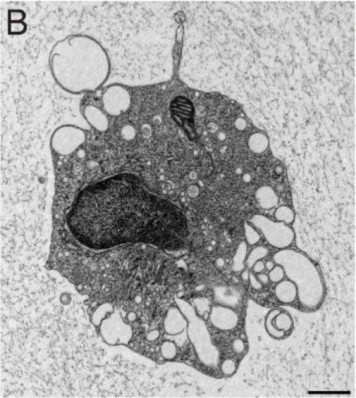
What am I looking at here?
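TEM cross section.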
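A single cell body with an irregular outline lies in a pale, finely granular surrounding matrix. It has a dark, irregularly shaped nucleus, and a slender process extends upward from its surface. Its cytoplasm is crowded with clear, round vesicles and vacuoles of many sizes, some large ones bulging at the edge, and an elongated organelle with inner membranes lies near the top.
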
